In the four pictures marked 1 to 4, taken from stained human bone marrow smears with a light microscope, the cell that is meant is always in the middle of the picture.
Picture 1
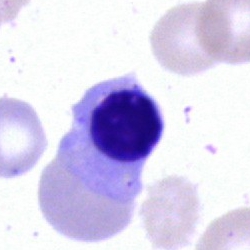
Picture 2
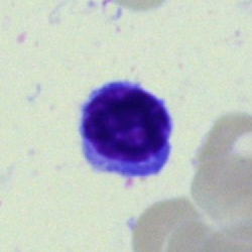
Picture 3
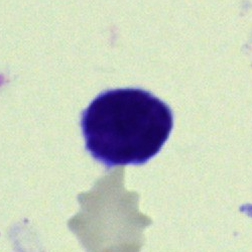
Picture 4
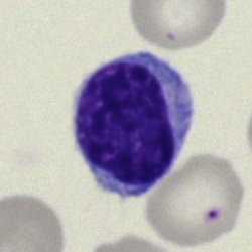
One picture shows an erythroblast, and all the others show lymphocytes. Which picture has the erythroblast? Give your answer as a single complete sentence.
The erythroblast is the one in picture 1.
